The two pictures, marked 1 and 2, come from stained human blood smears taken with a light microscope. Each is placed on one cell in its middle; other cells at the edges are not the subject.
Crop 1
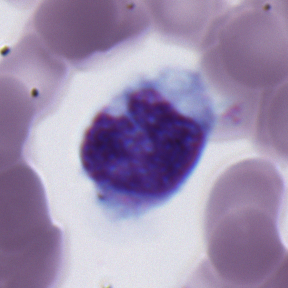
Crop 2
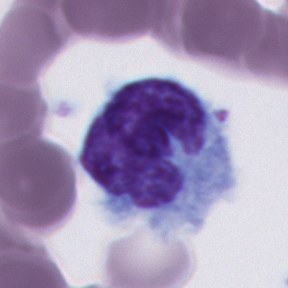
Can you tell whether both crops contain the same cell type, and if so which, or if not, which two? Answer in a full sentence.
Yes, the reply for both crops is monocytes.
